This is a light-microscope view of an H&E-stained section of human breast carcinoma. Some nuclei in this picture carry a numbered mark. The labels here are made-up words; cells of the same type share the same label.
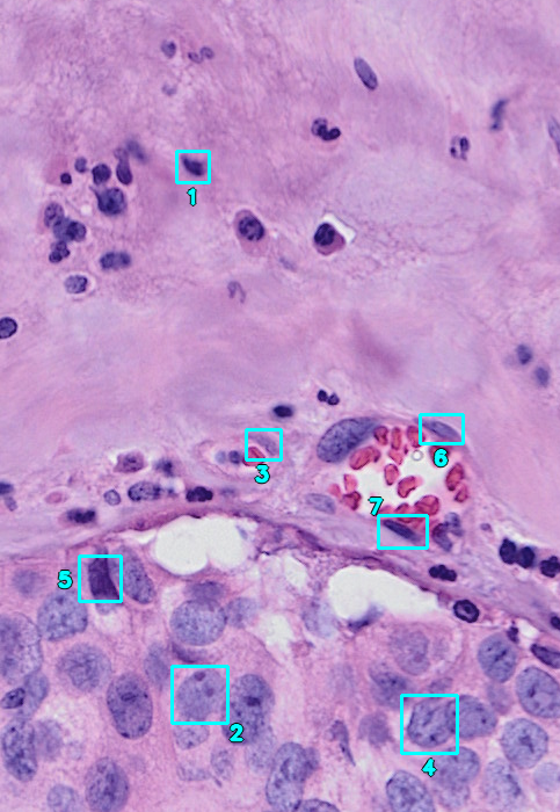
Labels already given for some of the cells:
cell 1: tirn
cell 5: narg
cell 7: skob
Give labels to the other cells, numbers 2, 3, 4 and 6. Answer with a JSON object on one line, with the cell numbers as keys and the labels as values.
{"2": "narg", "3": "skob", "4": "narg", "6": "skob"}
